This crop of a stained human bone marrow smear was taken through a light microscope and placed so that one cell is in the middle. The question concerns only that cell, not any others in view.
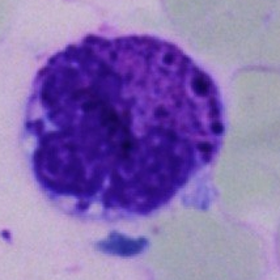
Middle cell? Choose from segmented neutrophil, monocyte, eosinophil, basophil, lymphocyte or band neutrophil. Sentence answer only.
Seen at the centre of the crop is a basophil.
